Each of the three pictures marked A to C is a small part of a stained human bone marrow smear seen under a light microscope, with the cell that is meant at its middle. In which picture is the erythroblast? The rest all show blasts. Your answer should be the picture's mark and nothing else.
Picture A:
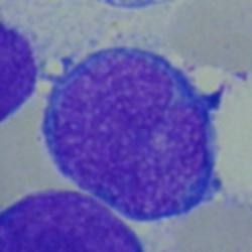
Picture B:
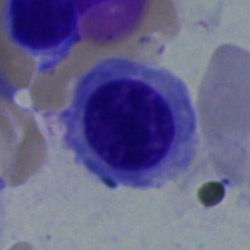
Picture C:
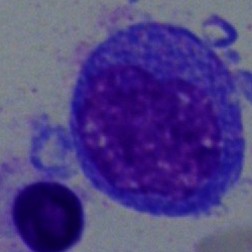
B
